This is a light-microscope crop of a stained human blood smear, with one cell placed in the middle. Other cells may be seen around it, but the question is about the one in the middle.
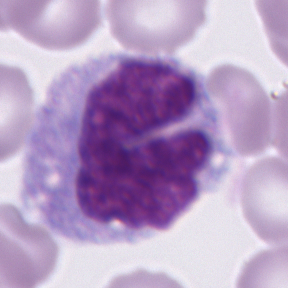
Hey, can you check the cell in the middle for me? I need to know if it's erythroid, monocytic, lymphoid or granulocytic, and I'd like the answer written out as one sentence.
The middle cell of the crop belongs with the cells of the monocytic lineage.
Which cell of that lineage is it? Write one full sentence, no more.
Standing at the centre of this crop is a monocyte.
